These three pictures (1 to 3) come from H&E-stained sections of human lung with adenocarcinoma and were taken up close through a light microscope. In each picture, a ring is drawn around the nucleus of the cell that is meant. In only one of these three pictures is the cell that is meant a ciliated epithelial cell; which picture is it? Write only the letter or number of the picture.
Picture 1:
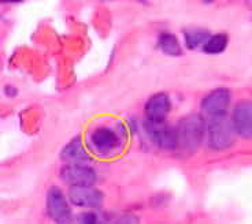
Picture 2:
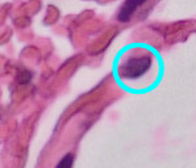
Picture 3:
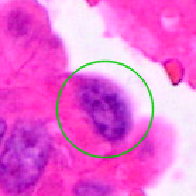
1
